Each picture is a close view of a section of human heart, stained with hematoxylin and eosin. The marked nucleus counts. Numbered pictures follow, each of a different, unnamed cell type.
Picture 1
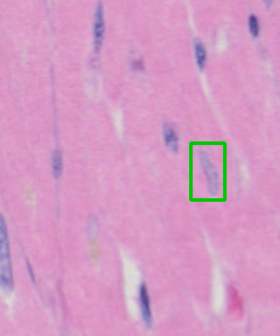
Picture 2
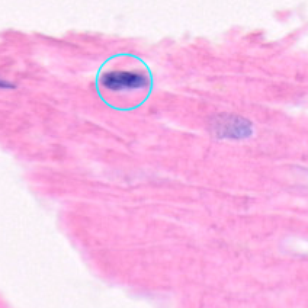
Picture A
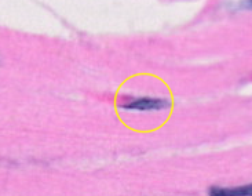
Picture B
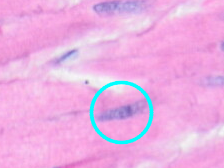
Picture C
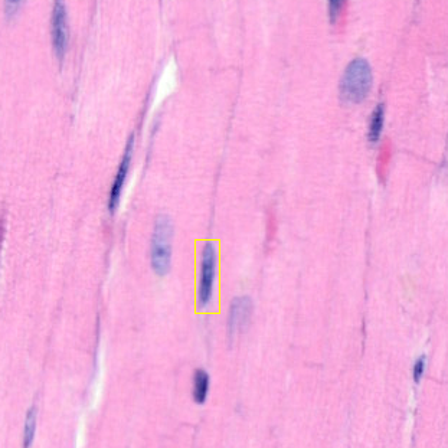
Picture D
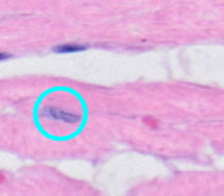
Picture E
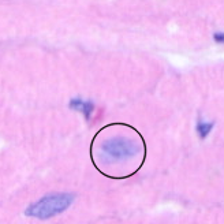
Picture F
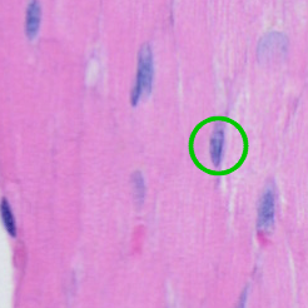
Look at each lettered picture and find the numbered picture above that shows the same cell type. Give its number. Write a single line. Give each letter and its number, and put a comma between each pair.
A 2, B 1, C 2, D 1, E 1, F 2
